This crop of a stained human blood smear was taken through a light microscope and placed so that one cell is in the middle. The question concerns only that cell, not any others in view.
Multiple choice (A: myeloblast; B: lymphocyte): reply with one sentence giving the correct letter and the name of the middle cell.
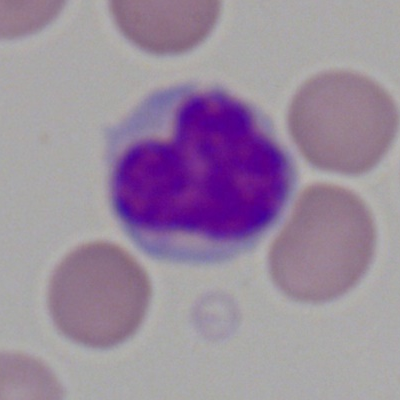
The cell in the middle is correctly identified as a lymphocyte in option B.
